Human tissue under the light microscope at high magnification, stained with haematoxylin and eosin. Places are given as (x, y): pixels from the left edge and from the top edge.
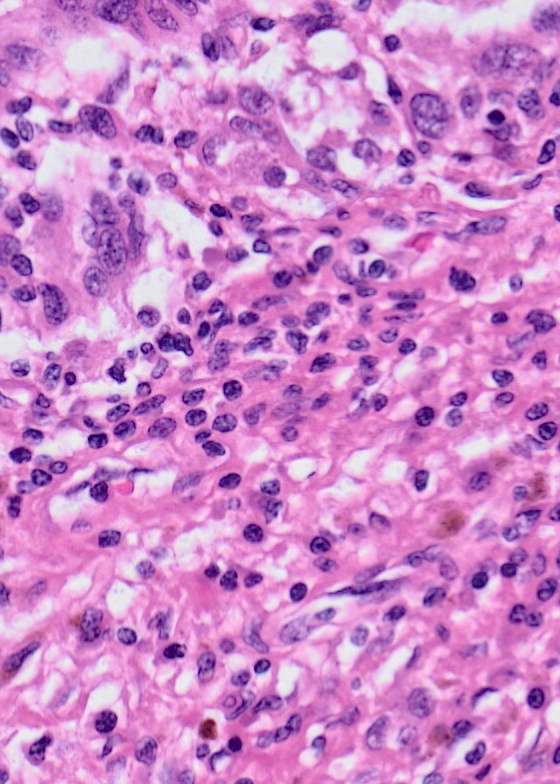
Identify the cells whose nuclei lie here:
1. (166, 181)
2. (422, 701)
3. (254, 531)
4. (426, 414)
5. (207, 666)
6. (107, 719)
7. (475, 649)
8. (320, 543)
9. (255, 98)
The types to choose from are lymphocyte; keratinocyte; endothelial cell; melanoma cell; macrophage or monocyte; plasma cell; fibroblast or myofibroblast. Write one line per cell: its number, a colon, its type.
1: macrophage or monocyte
2: melanoma cell
3: plasma cell
4: plasma cell
5: macrophage or monocyte
6: plasma cell
7: fibroblast or myofibroblast
8: plasma cell
9: melanoma cell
